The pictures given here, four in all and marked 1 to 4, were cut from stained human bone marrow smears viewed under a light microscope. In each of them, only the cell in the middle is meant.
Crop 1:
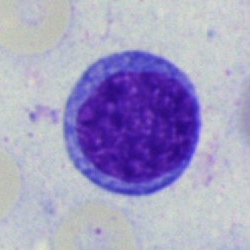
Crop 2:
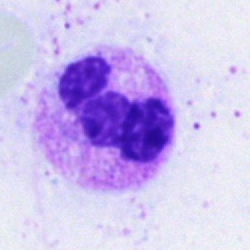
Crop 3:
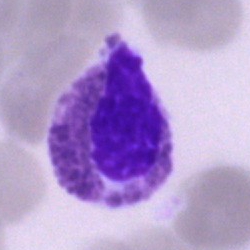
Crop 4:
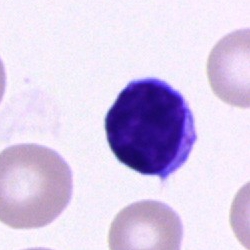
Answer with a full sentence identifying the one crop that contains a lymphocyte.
Selected crop: 4, which is the one that shows a lymphocyte.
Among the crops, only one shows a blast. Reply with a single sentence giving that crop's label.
That would be crop 1; it shows a blast.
